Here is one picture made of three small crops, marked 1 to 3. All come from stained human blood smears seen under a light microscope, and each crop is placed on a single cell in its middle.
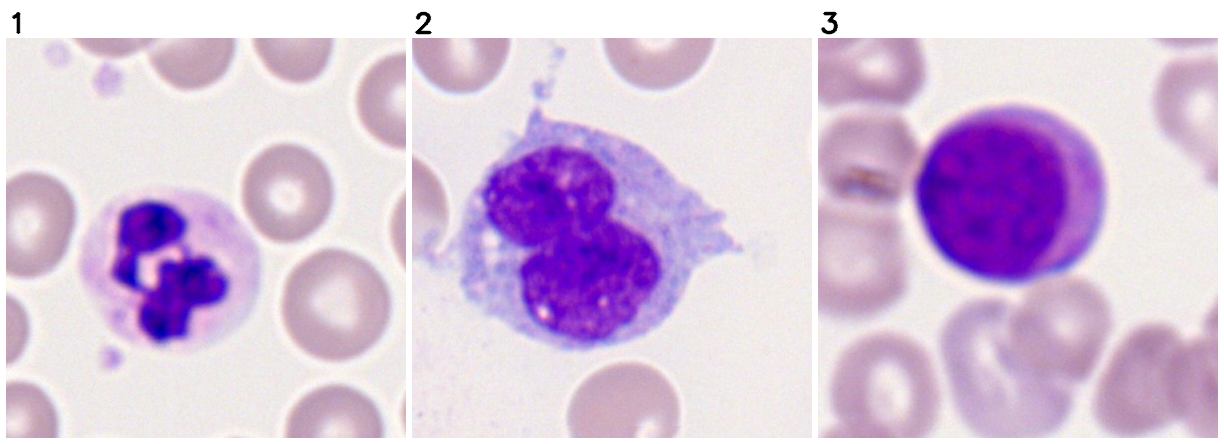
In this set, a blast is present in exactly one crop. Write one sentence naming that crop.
The correct choice is crop 3, the one showing a blast.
